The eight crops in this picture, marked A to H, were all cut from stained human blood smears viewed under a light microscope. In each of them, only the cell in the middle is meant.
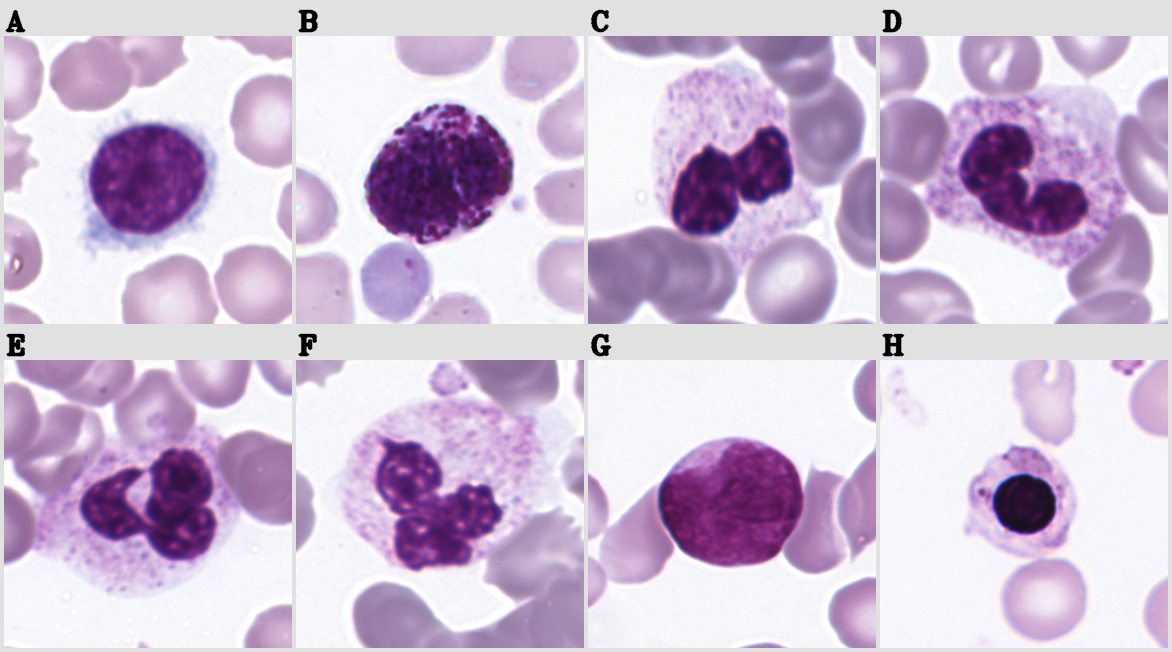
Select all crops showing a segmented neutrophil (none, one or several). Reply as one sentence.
Placed at the centre of crops C, D, E and F are segmented neutrophils.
